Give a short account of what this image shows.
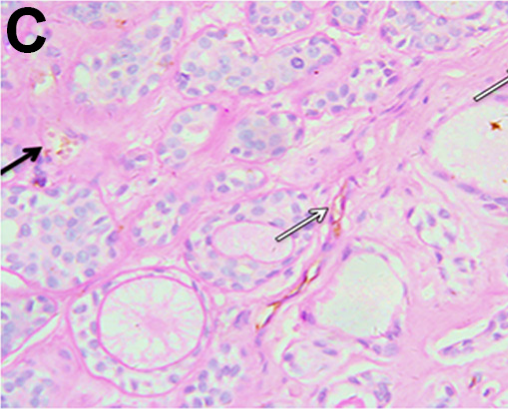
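This is adenoid cystic carcinoma tissue with tumour nests set in abundant pink stroma. The tumour cells are small, with blue oval nuclei and pale cytoplasm, forming tubules and nests around round pale pseudocystic spaces, some with pink-rimmed borders and faint pale contents. The stroma between nests is dense and pink. Within it run several thin slit-like and triangular lumens lined by a thin brown layer, and near the left edge a small channel lies within pink stroma without a clear brown lining.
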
